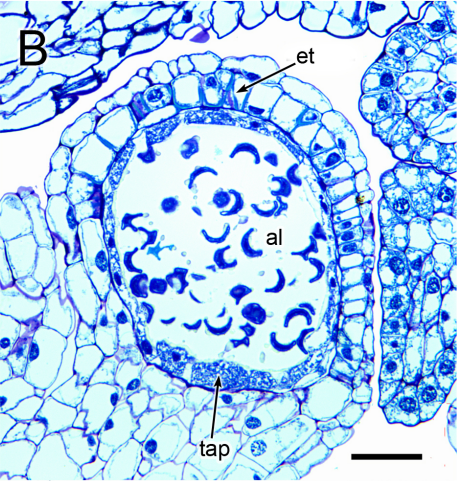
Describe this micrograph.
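Mature anther with individual pollen grains in a large locule and well developed wall layers. The locule is mostly clear, with scattered grains and crescent-shaped dark blue wall profiles. Lining the locule is a thin dense tapetum, thicker at the lower end. Outside it lies a layer of radially elongated cells with fine band-like wall thickenings, and an outer layer of small cells.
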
